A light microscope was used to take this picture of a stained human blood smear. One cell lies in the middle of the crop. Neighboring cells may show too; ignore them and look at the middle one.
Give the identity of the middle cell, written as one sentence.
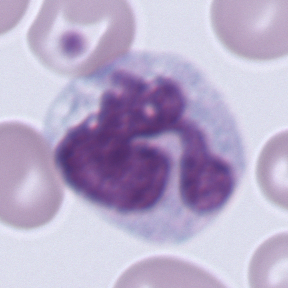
For this crop, the central cell is a monocyte.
